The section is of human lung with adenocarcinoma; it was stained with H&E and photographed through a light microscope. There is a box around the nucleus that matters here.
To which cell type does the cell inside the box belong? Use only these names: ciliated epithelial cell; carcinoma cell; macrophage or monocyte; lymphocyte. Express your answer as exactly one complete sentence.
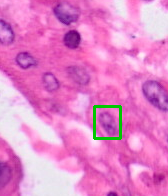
Within the stained tissue, the cell inside the box is a macrophage or monocyte.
